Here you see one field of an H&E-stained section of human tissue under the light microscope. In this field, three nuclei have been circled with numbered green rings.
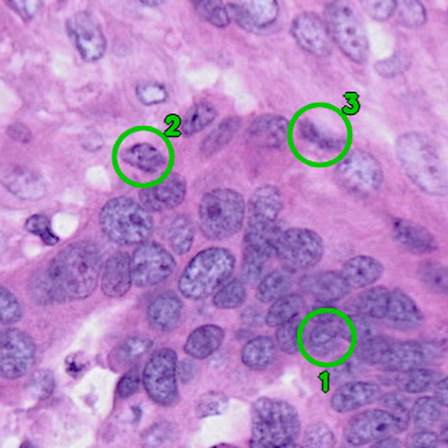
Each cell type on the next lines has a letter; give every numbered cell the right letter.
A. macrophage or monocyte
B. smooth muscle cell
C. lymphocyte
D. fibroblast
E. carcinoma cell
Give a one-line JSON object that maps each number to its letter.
{"1": "E", "2": "A", "3": "D"}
